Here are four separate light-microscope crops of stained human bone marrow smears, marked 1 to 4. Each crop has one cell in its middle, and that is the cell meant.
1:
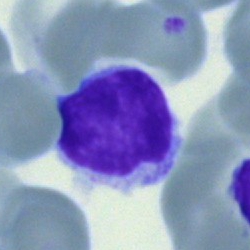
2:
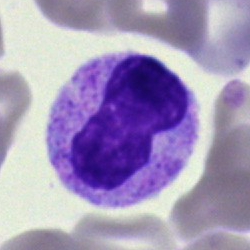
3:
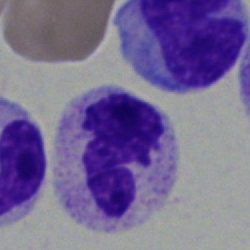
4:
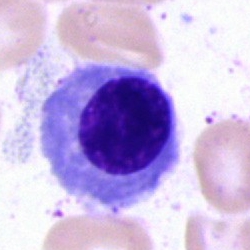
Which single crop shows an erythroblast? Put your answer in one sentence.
Of the labeled crops, the one with an erythroblast is crop 4.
